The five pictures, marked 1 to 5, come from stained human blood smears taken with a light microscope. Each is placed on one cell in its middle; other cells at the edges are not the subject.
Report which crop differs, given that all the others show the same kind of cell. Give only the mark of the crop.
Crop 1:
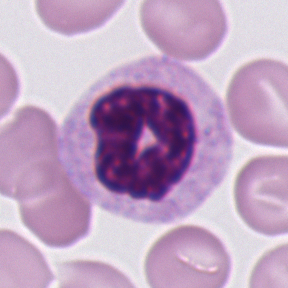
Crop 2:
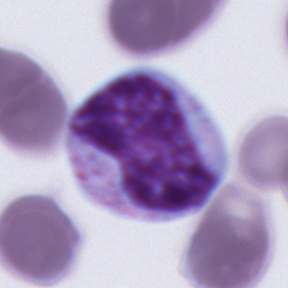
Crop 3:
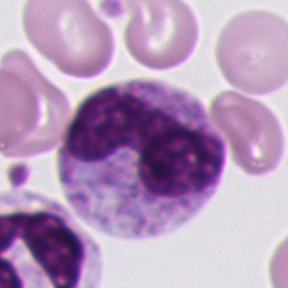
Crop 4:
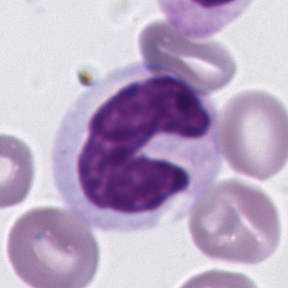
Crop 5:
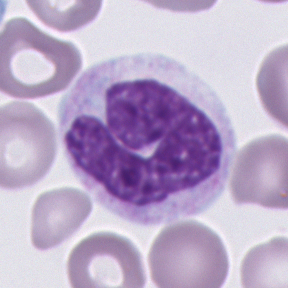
1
